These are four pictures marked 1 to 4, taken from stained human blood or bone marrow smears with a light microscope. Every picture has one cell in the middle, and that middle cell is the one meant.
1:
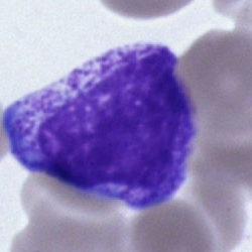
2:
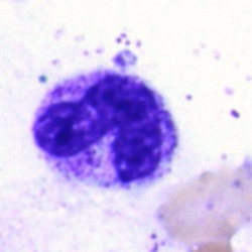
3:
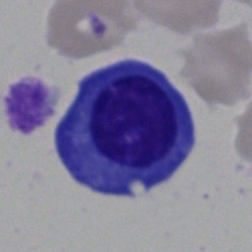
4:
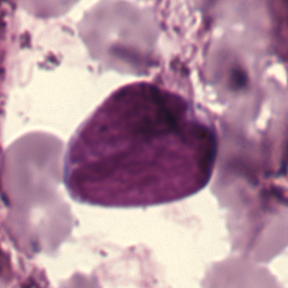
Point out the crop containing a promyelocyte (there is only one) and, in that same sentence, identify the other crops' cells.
On the one hand crop 1 shows a promyelocyte; on the other, crop 2 is a band neutrophil, crop 3 is a plasma cell and crop 4 is a blast.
